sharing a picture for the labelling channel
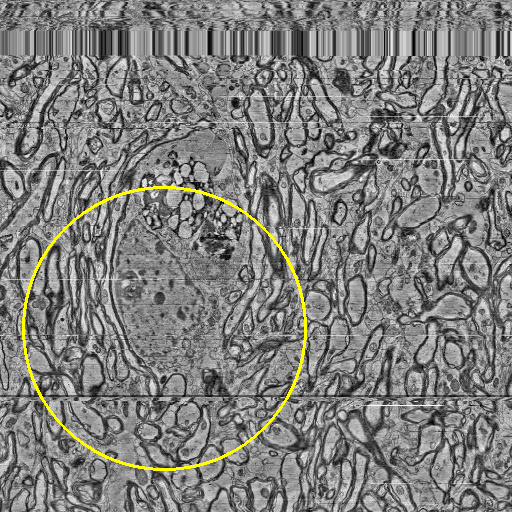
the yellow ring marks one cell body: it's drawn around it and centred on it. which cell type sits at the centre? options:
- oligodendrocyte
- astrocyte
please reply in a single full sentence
In the picture, the cell at the ring's centre is an astrocyte, going by the list.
